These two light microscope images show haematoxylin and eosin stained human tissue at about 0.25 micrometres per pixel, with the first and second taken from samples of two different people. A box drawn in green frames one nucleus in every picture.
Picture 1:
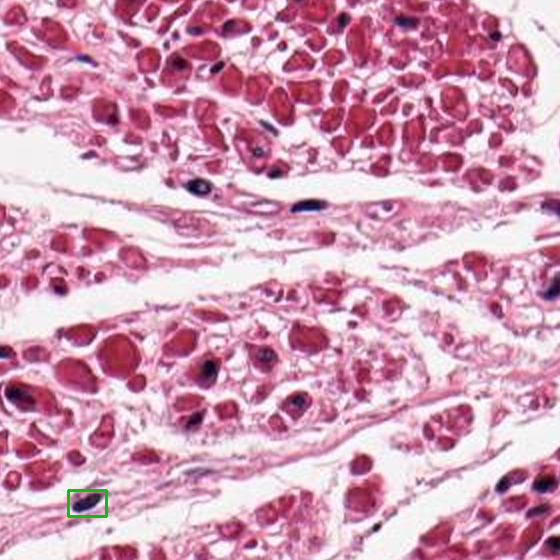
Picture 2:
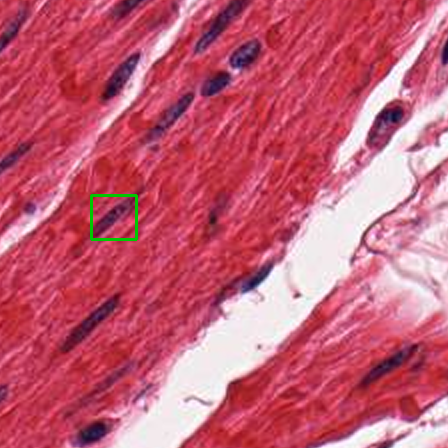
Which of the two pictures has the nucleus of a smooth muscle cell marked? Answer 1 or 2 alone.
2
